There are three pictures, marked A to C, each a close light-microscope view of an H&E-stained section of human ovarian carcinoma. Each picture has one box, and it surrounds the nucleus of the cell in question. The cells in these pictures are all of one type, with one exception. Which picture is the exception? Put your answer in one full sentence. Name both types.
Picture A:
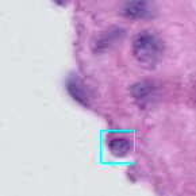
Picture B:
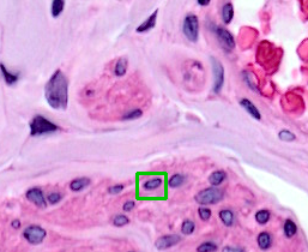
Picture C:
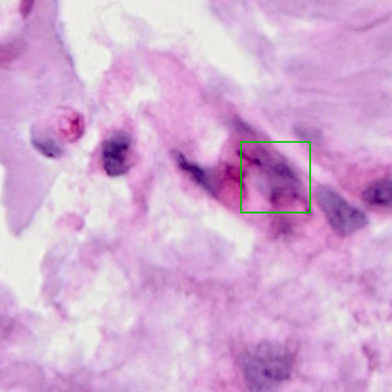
Picture B differs, because its cell is a smooth muscle cell and the rest are endothelial cells.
